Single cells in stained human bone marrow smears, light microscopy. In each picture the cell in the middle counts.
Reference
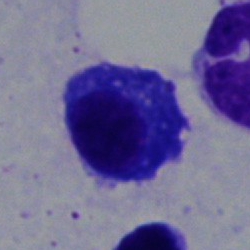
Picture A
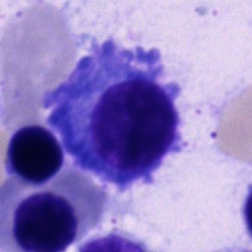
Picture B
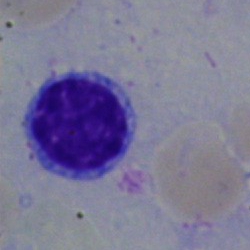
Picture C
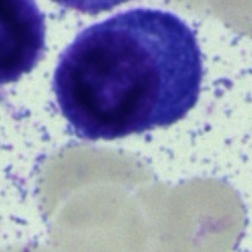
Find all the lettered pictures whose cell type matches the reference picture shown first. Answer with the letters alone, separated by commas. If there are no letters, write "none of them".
A, C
